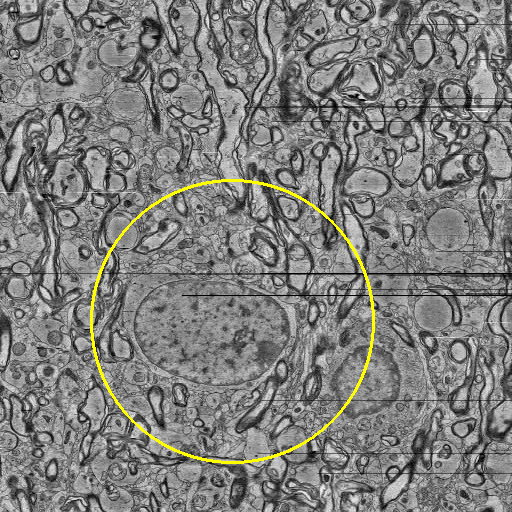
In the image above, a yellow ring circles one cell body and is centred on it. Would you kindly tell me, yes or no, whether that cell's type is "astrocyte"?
no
